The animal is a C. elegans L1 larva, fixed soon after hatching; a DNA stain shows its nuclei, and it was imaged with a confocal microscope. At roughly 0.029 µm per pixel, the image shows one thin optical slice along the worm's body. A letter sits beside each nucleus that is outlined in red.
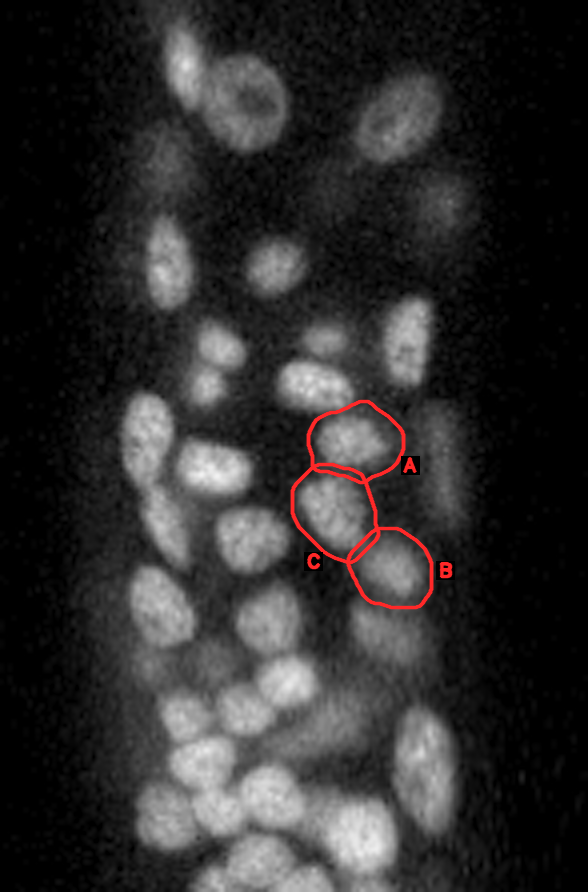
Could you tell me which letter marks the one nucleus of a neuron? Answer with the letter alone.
B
